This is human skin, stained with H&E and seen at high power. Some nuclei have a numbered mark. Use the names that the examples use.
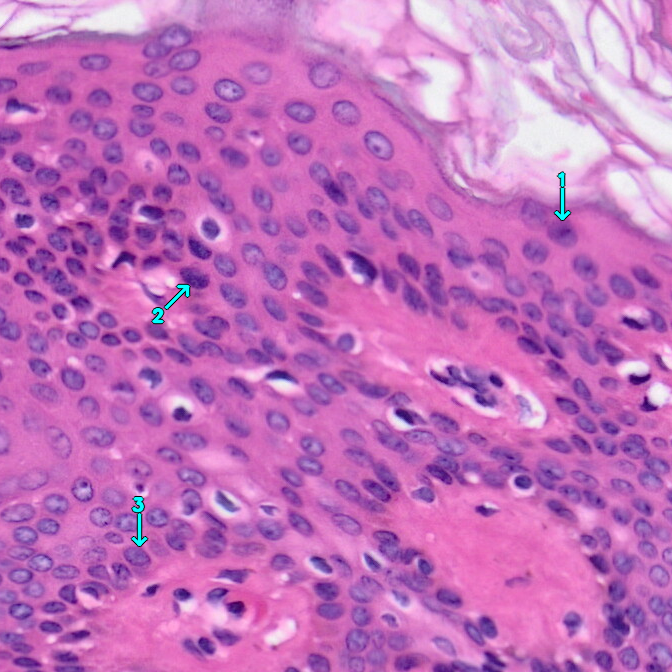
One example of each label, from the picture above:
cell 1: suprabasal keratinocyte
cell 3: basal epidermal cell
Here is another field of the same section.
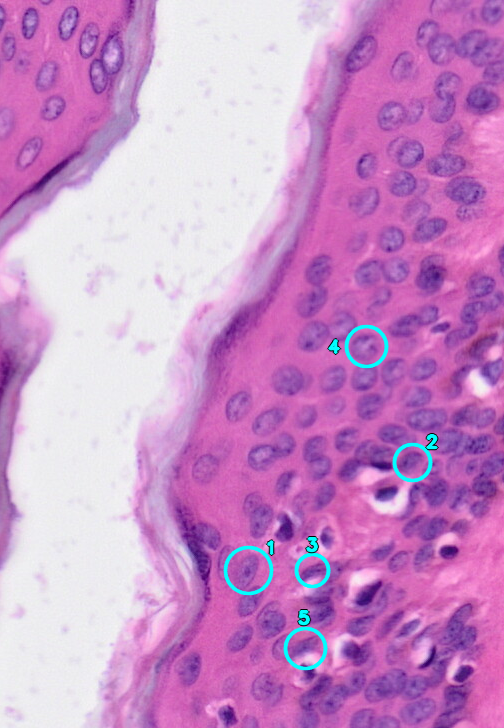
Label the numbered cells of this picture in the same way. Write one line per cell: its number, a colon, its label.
1: suprabasal keratinocyte
2: basal epidermal cell
3: basal epidermal cell
4: suprabasal keratinocyte
5: basal epidermal cell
